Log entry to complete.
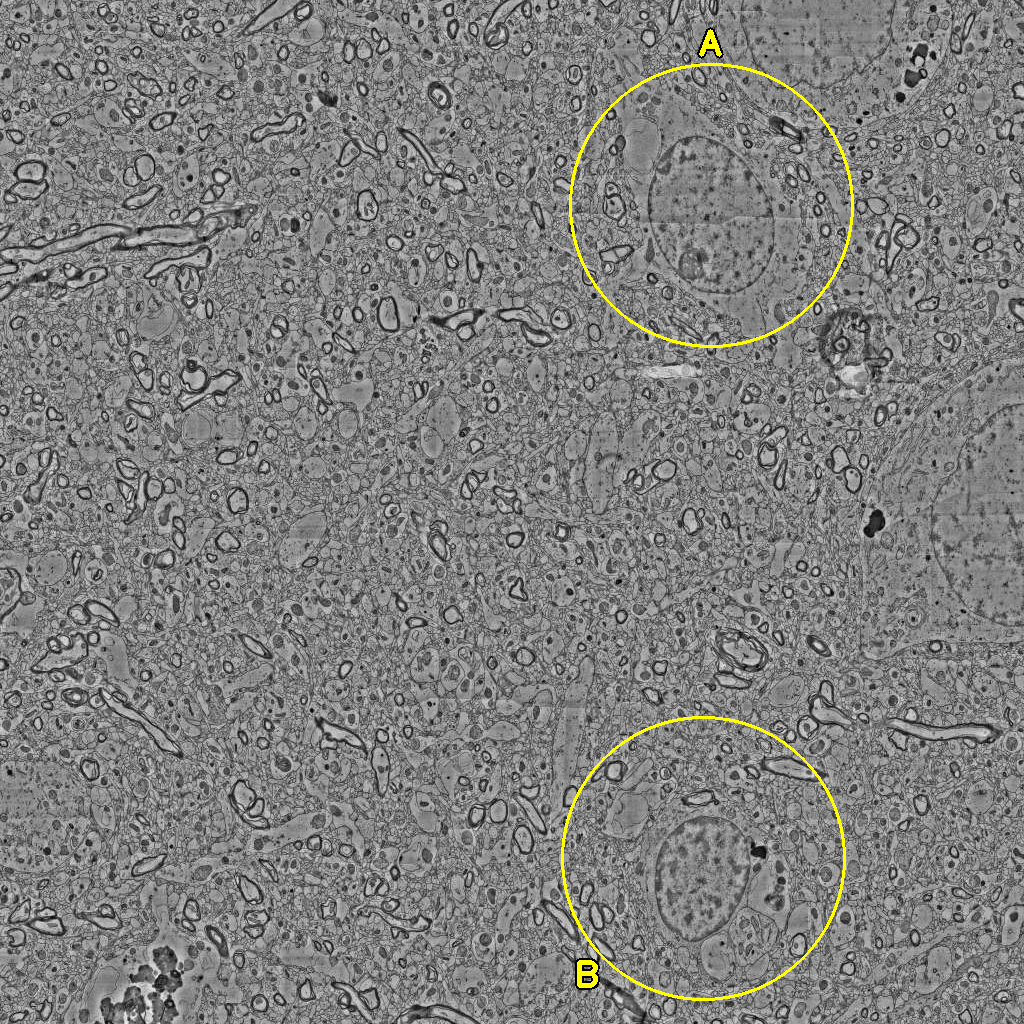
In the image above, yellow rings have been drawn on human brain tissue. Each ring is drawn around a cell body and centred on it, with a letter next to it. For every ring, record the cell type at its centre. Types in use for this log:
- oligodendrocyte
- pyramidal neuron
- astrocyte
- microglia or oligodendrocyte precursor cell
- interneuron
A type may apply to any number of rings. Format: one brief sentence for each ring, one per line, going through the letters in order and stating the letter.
In ring A, the centred cell is an astrocyte.
In ring B, the centred cell is an oligodendrocyte.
